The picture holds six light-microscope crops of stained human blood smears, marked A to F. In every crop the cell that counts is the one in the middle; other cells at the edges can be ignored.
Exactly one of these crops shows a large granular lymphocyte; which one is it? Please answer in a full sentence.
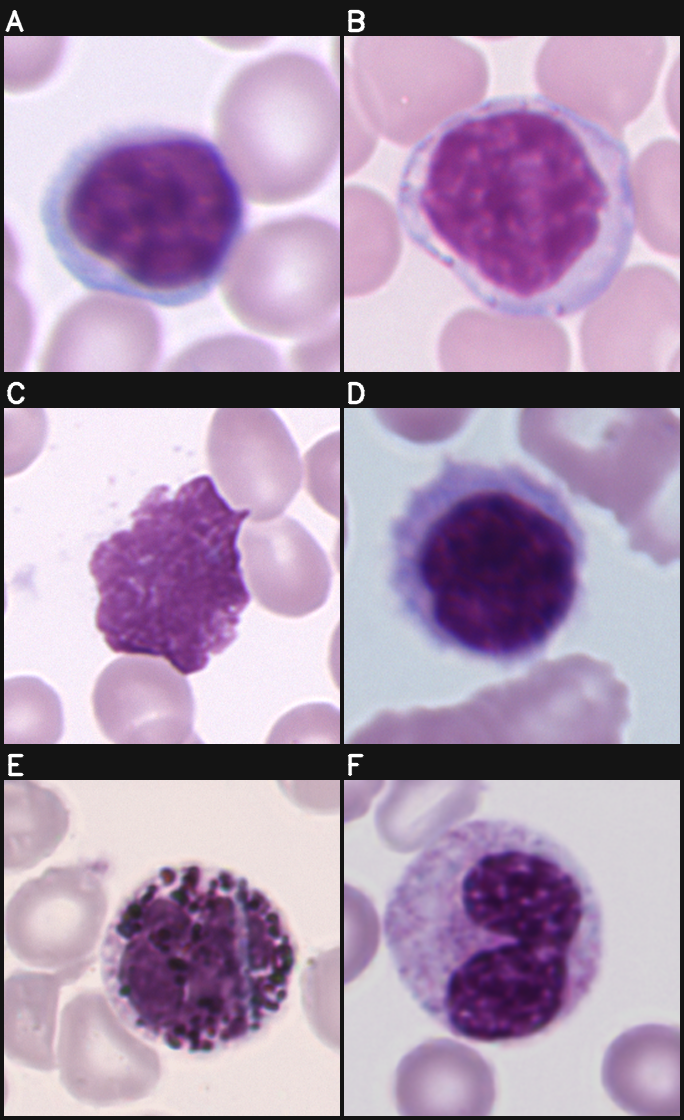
The crop in which a large granular lymphocyte is shown is crop B.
